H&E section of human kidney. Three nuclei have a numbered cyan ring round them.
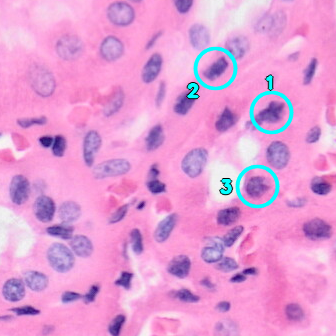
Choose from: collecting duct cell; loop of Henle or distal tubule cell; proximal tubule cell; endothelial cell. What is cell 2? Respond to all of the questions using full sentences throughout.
Cell number 2 in this section is a collecting duct cell.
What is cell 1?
Cell 1 of the marked set is a loop of Henle or distal tubule cell.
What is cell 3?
The cell whose nucleus carries the number 3 is a loop of Henle or distal tubule cell.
